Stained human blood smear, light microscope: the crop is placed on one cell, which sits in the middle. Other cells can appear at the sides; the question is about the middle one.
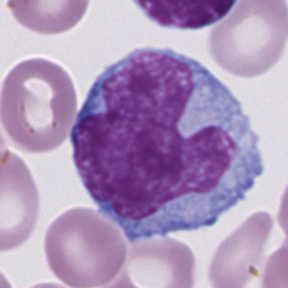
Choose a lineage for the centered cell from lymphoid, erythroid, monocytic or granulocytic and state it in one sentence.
The centrally placed cell is assigned to the monocytic lineage.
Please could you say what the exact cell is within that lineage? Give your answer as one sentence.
The central element of this crop is a cell, namely a monocyte.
